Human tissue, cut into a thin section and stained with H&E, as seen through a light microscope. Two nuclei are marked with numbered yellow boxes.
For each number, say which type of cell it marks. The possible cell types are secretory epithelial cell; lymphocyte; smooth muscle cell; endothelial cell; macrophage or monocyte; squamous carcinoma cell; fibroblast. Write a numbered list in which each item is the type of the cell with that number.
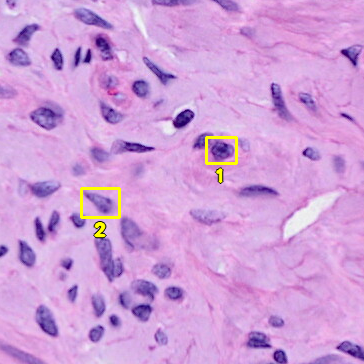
1. endothelial cell
2. fibroblast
